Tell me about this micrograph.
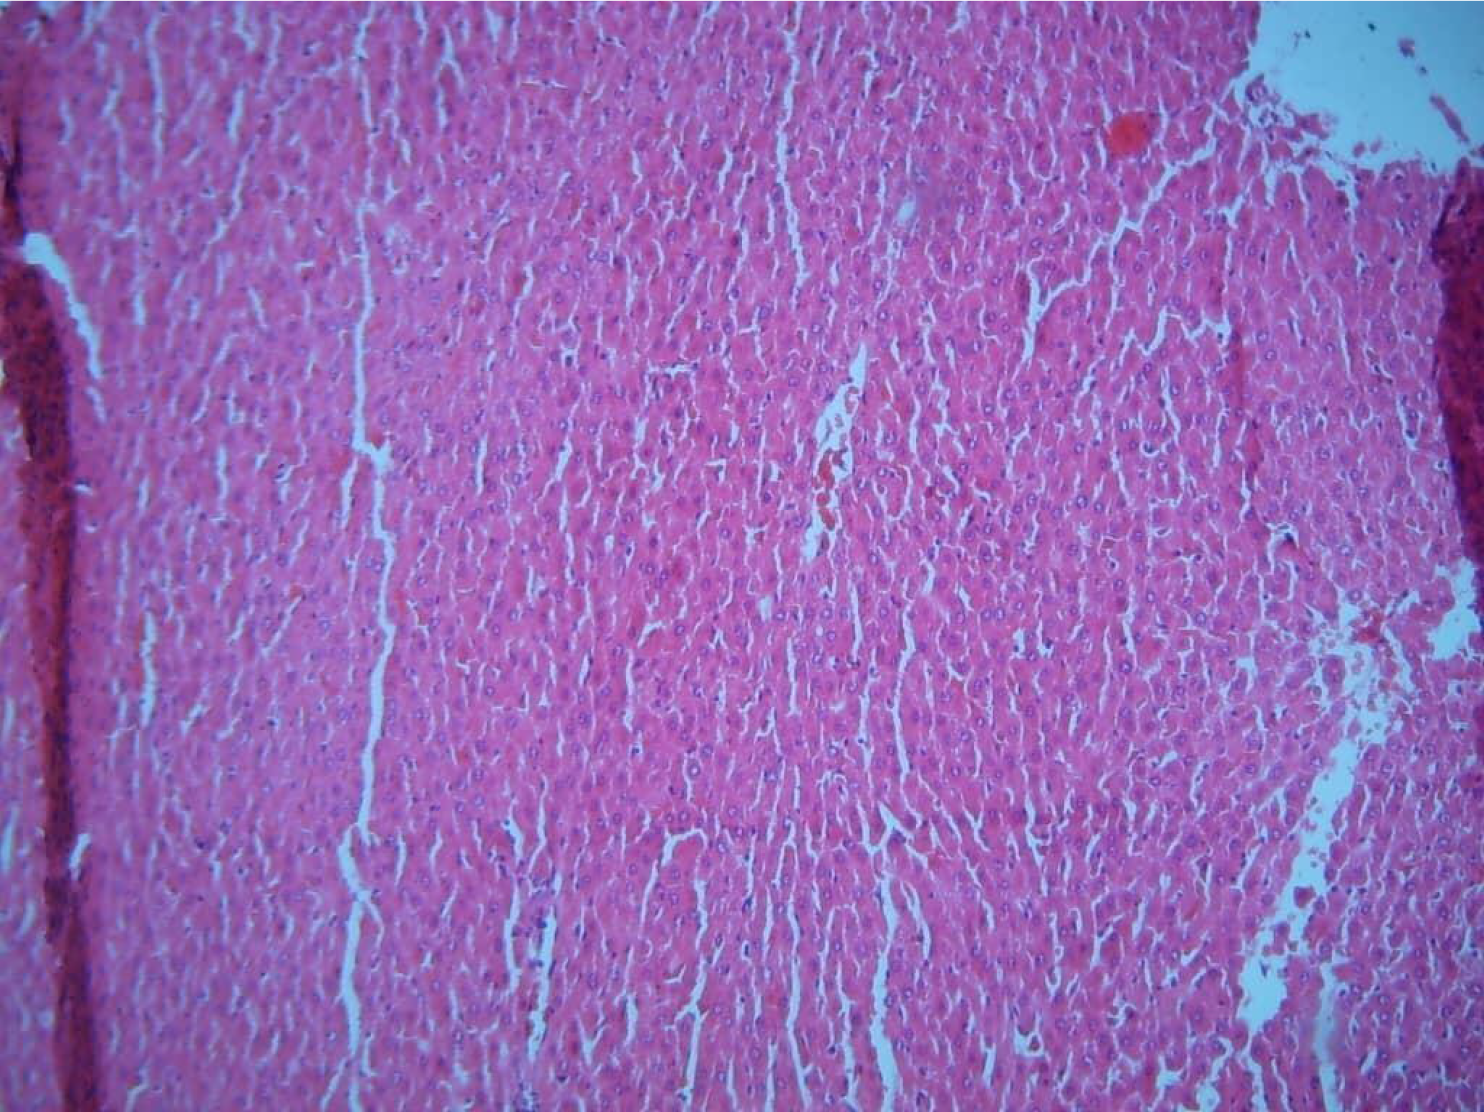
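This is liver tissue in which polygonal hepatocytes with abundant pink cytoplasm and single round, centrally placed nuclei make up nearly the whole field. The hepatocytes lie in cords or plates that run roughly in parallel, separated by many narrow, irregular clear slits. Near the centre, a small vessel contains red blood cells. Darker red bands of tissue run along the left and right edges.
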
